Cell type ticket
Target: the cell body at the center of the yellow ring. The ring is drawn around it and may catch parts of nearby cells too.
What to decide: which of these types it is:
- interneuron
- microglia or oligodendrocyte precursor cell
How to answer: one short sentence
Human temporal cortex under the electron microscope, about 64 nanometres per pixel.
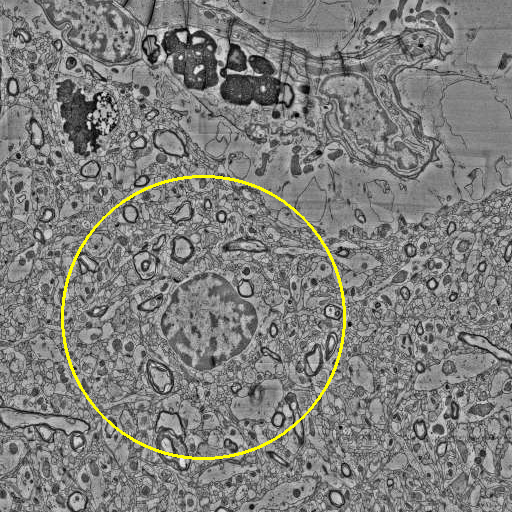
The cell at the center of the ring is a microglial cell or oligodendrocyte precursor cell.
